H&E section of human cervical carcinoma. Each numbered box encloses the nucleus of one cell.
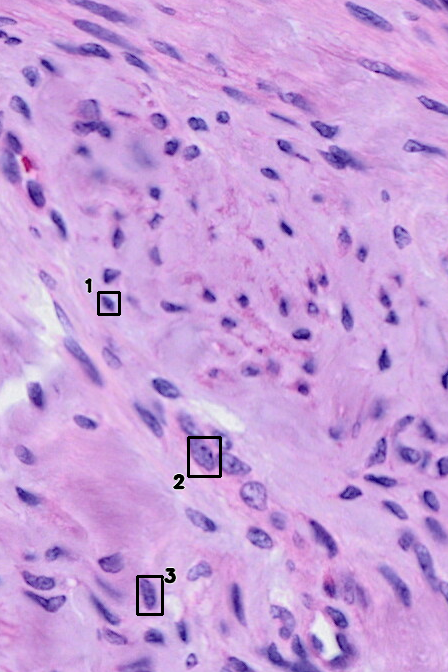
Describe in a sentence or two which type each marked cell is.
Cells 1 and 3 are fibroblasts. Cell 2 is an endothelial cell.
